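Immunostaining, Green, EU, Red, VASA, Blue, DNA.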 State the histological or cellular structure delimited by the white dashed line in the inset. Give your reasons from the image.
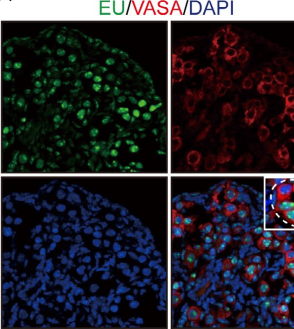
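Germ cell cyst. The enclosed cells have red cytoplasm around round nuclei.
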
